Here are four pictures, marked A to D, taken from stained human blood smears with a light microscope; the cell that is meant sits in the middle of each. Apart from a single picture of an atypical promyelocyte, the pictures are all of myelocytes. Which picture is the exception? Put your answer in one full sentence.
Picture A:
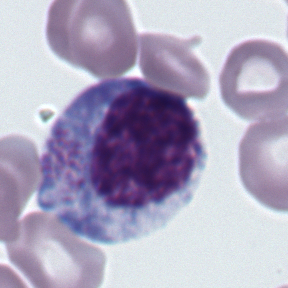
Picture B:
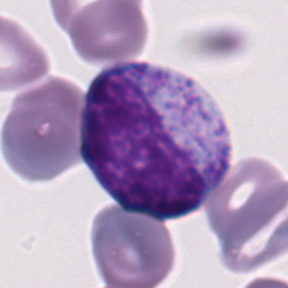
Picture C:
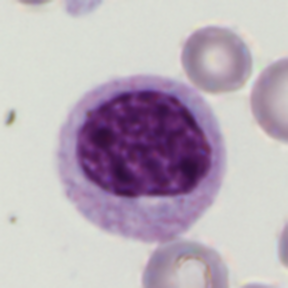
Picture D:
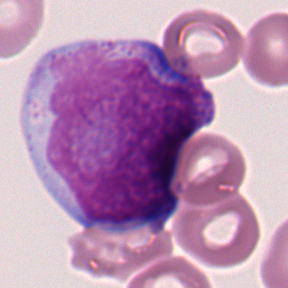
The atypical promyelocyte is the one in picture D.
